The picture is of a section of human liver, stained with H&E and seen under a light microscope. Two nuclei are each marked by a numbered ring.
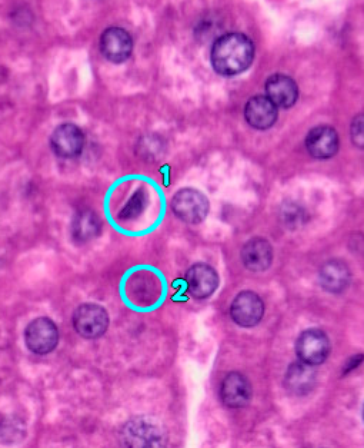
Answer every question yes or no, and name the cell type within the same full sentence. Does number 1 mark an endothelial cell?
Yes, the numbered nucleus 1 is that of an endothelial cell.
